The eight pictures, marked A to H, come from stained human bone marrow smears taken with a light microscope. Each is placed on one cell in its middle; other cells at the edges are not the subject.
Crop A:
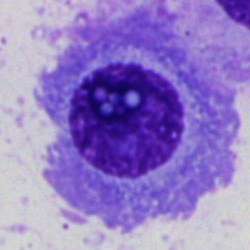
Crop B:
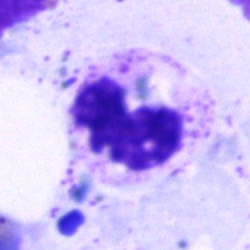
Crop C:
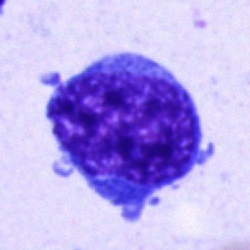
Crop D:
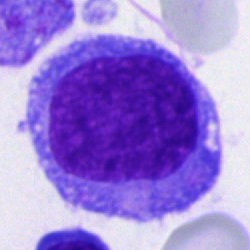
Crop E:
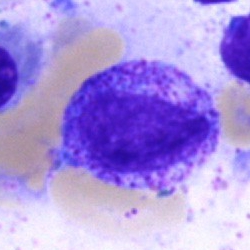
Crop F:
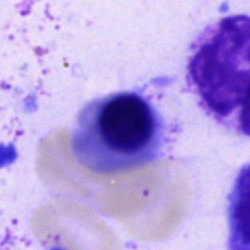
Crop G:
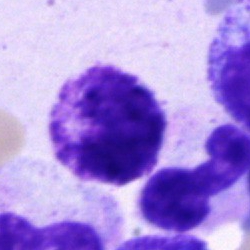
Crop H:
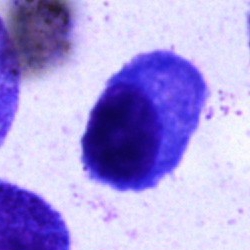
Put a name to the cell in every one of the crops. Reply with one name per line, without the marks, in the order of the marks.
plasma cell
segmented neutrophil
blast
blast
myelocyte
normoblast
basophil
plasma cell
